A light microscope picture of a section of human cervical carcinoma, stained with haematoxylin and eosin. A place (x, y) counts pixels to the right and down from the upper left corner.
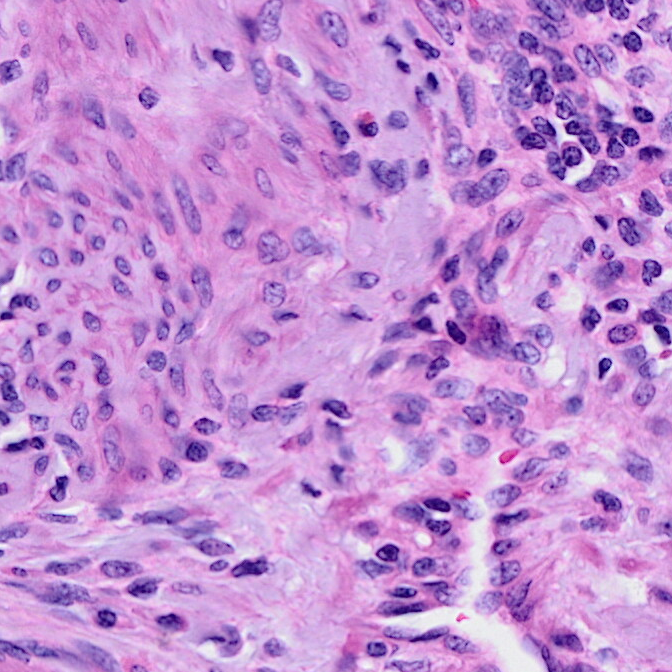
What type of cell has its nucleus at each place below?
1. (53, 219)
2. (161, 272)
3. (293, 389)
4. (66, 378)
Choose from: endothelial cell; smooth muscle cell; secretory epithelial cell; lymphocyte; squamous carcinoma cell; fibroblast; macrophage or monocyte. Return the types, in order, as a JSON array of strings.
["smooth muscle cell", "smooth muscle cell", "lymphocyte", "smooth muscle cell"]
